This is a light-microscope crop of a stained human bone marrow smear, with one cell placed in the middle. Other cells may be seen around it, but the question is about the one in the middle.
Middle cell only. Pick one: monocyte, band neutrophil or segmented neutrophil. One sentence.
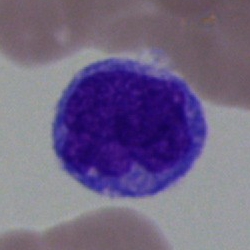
Centred in the crop is a monocyte.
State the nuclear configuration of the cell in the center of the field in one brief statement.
In this cell the nucleus is a solitary compact mass, round, oval or kidney-shaped.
